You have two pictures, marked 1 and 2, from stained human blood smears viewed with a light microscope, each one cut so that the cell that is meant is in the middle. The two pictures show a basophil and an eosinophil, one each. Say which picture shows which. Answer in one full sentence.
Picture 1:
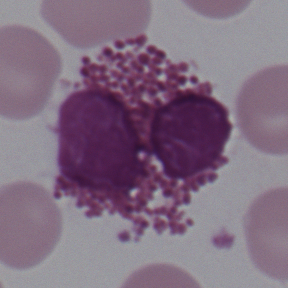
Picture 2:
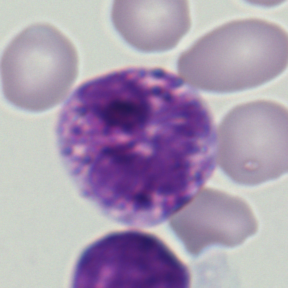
Picture 1 is of an eosinophil, and picture 2 is of a basophil.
